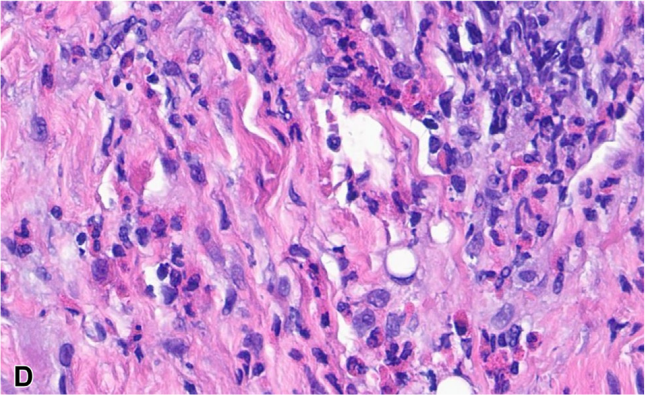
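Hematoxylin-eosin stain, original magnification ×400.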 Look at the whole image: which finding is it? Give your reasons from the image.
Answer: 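Eosinophils degranulating. Pink-red granular cells lie between wavy collagen bundles. Pink granular material lies loosely around cells with poorly defined borders.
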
